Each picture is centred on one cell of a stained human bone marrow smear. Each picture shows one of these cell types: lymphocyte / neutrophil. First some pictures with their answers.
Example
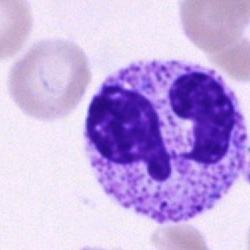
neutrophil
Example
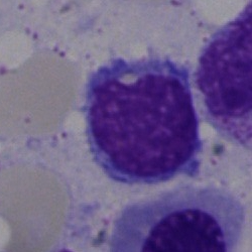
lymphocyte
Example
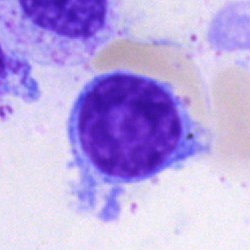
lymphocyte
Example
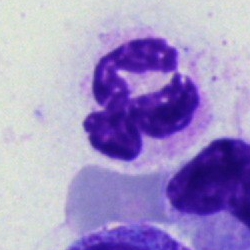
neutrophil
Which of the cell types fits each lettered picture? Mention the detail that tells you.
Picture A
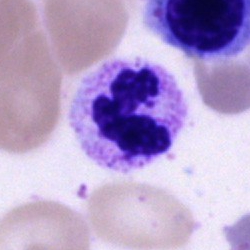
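neutrophil. Reason: The cytoplasm is plentiful and pale lilac.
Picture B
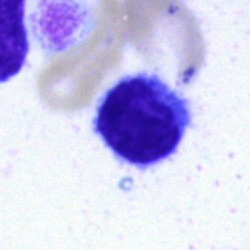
lymphocyte. Reason: The nucleus fills almost the whole cell, leaving only a very scant rim of cytoplasm.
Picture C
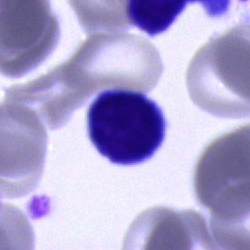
lymphocyte. Reason: Cytoplasm is scant, forming at most a barely visible rim around the nucleus.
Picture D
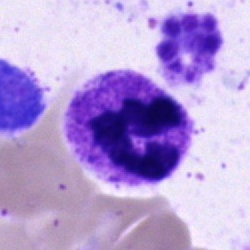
neutrophil. Reason: The cytoplasm is plentiful and pinkish-lilac.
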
